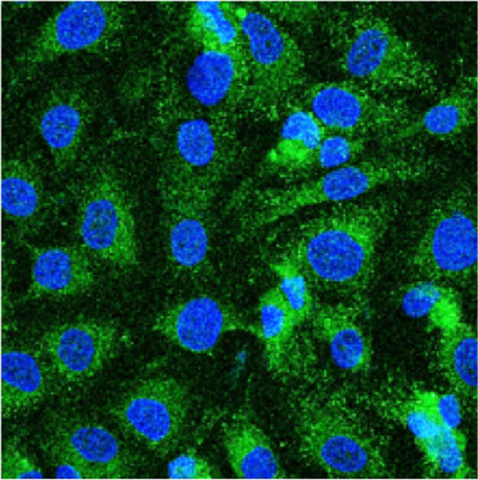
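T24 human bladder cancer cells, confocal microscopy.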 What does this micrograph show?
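The green fluorescence fills the cytoplasm and is brightest in a perinuclear zone around each nucleus, thinning toward the cell margins, where darker gaps mark the borders between neighbouring cells. Nuclei are round to oval, of fairly uniform size, with a mottled chromatin texture; a few smaller, brighter nuclei sit among cells whose cytoplasm is especially intensely stained. The cells are polygonal to somewhat elongated and closely packed.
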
